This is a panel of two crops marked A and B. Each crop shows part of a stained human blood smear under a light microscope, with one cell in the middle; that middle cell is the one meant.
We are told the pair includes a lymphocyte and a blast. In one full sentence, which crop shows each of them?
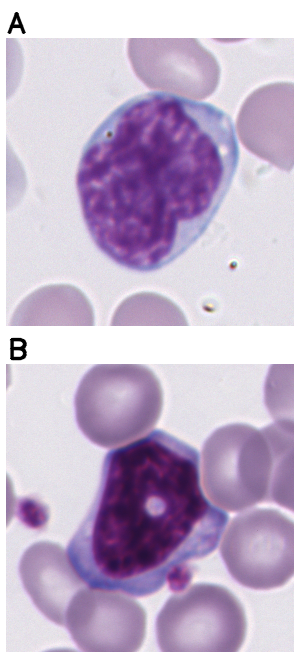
Taken crop by crop, crop A is a blast and crop B is a lymphocyte.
